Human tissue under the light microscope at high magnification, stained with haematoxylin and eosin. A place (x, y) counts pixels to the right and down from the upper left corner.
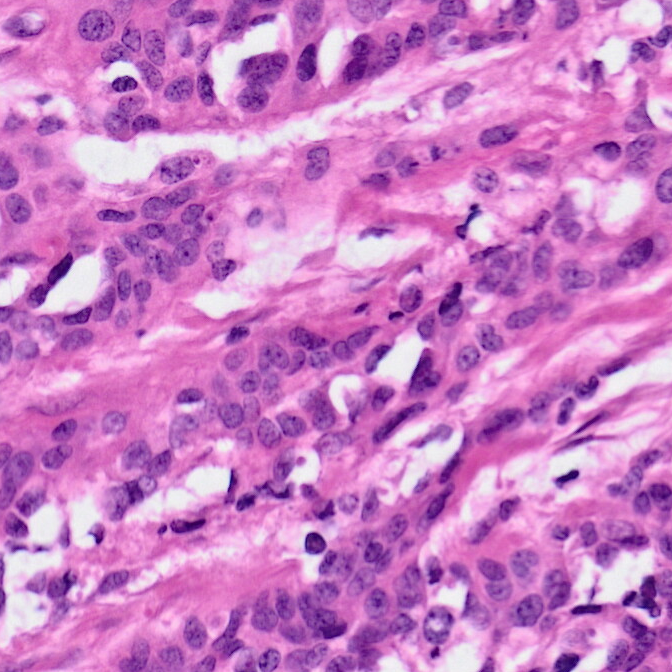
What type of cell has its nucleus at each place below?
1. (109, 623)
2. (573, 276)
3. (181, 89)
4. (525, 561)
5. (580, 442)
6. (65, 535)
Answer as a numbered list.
1. fibroblast
2. carcinoma cell
3. carcinoma cell
4. carcinoma cell
5. fibroblast
6. carcinoma cell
